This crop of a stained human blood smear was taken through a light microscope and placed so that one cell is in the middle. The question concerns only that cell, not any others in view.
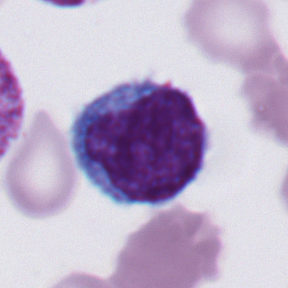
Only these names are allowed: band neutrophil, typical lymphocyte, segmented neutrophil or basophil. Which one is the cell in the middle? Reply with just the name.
typical lymphocyte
